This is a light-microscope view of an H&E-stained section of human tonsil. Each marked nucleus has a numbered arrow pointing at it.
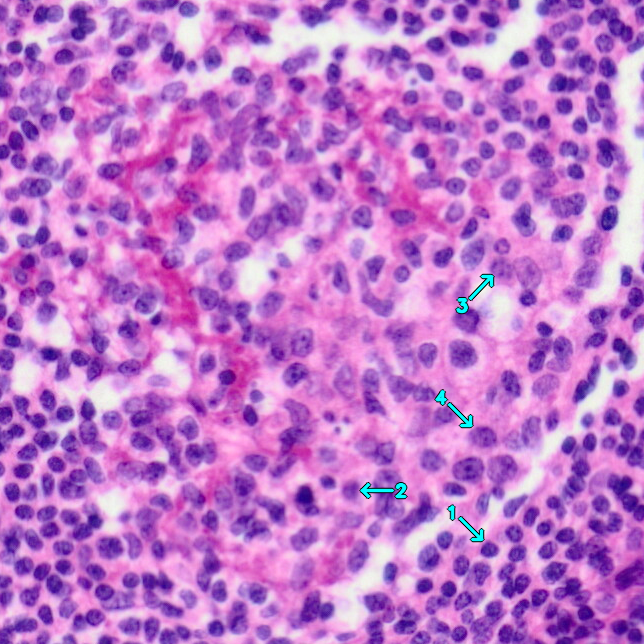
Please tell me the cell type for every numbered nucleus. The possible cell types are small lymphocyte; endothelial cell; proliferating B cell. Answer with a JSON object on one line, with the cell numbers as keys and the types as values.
{"1": "small lymphocyte", "2": "proliferating B cell", "3": "proliferating B cell", "4": "proliferating B cell"}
